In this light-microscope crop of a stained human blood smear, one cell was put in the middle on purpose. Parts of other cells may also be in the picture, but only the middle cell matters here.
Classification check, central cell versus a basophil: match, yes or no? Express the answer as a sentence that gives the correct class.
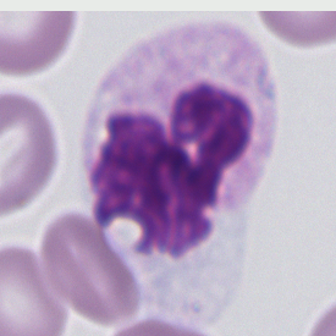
No, the cell in the middle is categorised as a segmented neutrophil, not a basophil.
